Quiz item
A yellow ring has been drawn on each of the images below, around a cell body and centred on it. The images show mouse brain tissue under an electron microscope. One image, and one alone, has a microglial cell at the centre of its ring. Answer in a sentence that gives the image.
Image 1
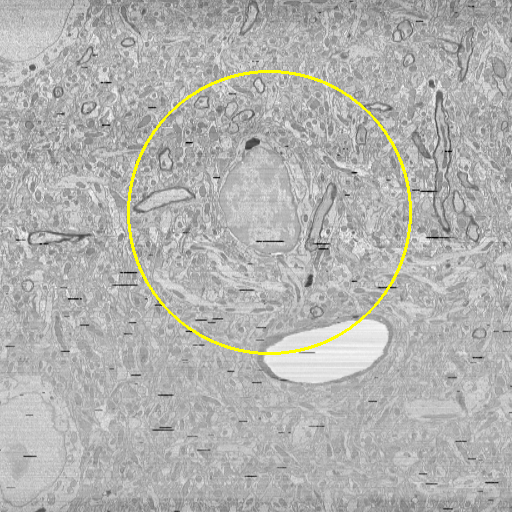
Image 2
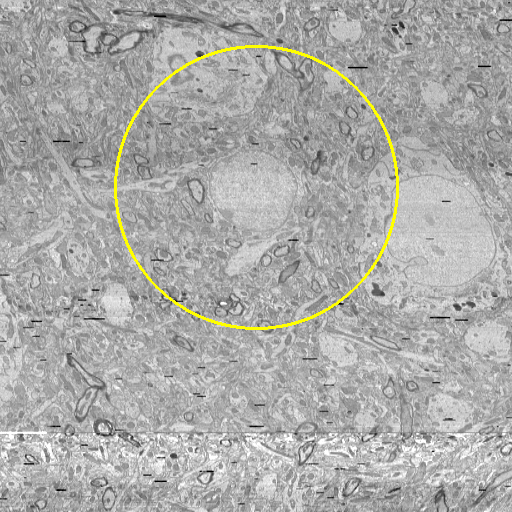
Image 1 shows it at the centre of the ring.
